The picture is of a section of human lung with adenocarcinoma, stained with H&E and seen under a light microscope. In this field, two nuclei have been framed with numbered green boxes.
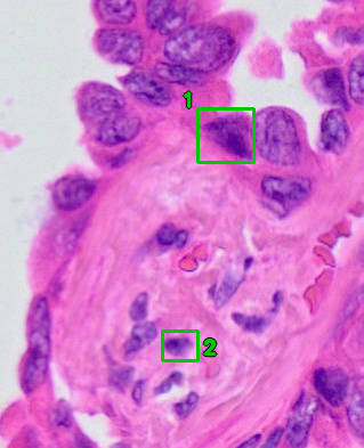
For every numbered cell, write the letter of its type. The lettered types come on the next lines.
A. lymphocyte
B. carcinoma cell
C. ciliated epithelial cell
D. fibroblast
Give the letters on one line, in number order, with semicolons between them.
B; A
